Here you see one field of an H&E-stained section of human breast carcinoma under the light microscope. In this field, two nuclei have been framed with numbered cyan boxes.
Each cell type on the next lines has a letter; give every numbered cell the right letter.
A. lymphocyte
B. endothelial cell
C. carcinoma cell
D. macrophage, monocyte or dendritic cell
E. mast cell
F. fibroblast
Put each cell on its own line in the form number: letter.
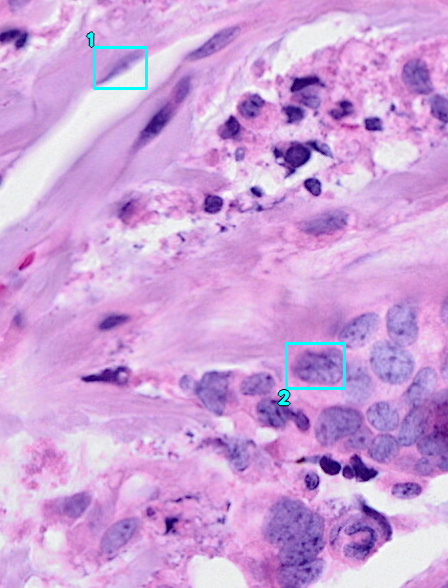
1: F
2: C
